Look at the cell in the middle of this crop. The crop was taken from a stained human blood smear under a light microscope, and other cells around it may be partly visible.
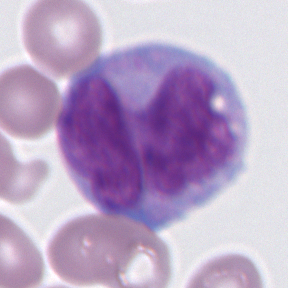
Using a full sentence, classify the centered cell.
Present in the middle of the crop is an atypical promyelocyte.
